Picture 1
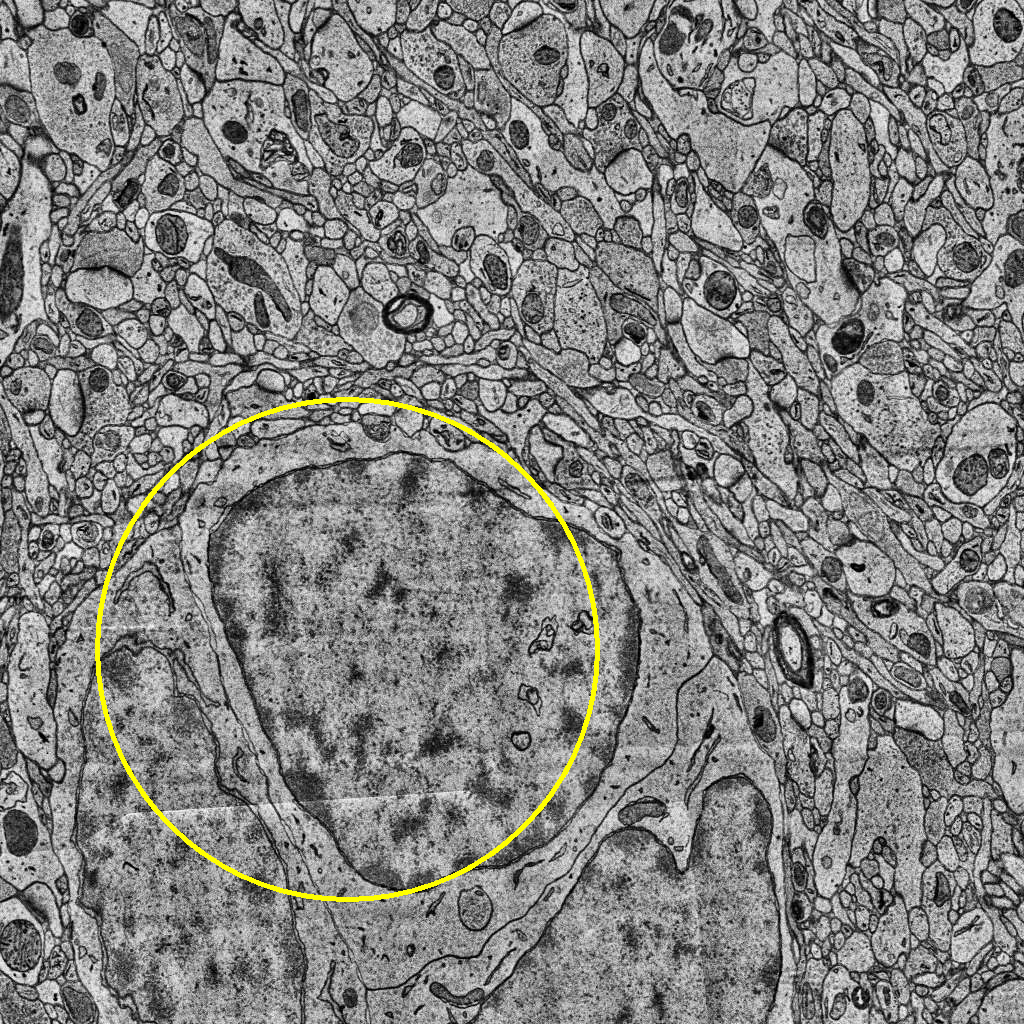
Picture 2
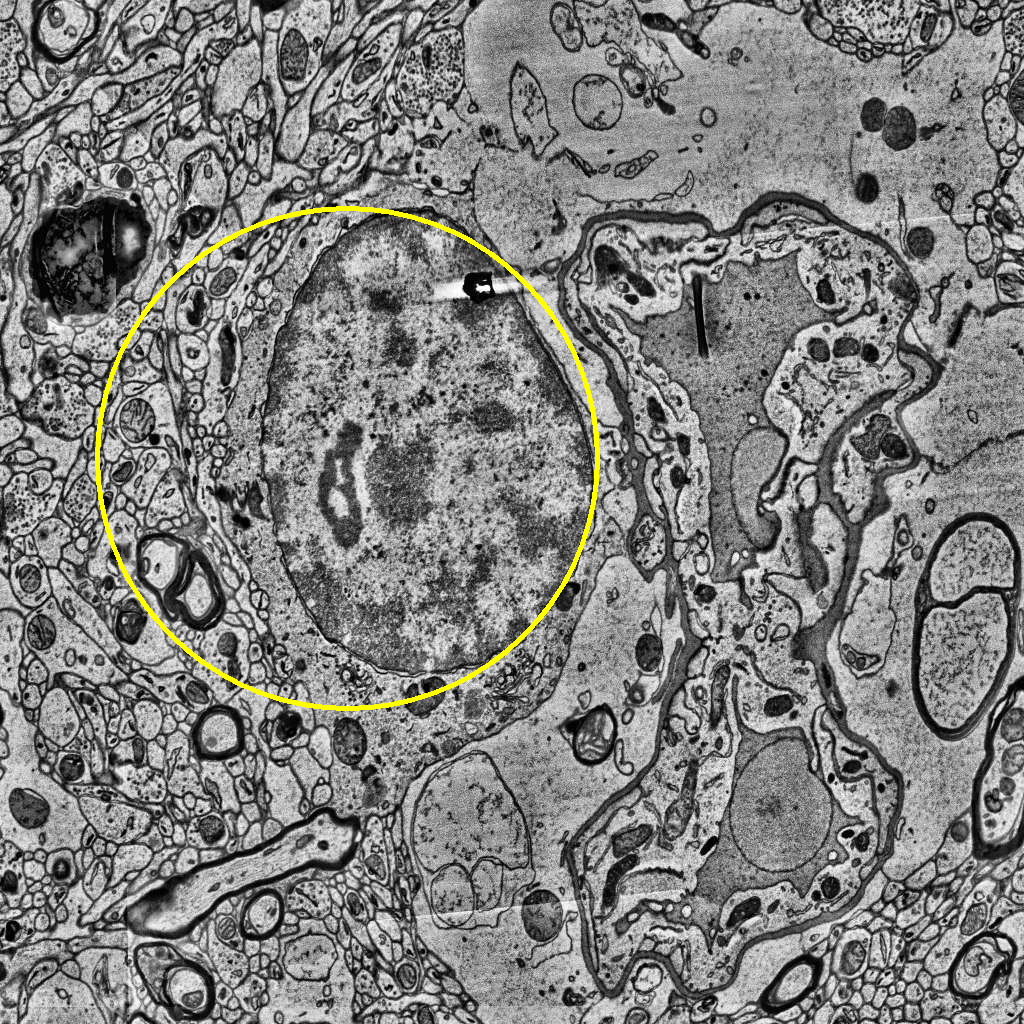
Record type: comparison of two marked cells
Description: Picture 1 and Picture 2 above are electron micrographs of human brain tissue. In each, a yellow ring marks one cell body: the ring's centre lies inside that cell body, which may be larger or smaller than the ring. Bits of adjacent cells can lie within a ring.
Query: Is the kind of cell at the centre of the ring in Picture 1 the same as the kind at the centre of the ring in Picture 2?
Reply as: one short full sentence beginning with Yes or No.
No, the two cells at the ring centres are of two separate kinds.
